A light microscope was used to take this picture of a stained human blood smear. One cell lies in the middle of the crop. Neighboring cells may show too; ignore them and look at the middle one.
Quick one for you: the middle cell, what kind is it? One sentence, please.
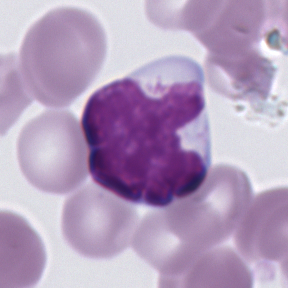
Positioned in the middle of the crop is a large granular lymphocyte.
